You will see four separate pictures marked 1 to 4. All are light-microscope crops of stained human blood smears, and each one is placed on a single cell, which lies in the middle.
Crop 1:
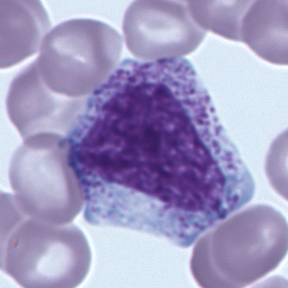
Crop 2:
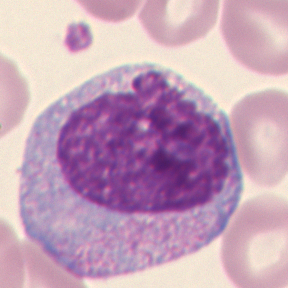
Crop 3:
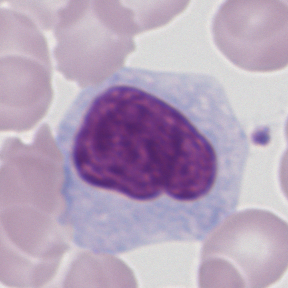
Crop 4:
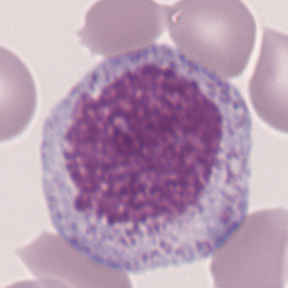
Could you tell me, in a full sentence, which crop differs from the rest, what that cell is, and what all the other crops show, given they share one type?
Crop 3 is the sole crop with a monocyte; the others all have promyelocytes.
